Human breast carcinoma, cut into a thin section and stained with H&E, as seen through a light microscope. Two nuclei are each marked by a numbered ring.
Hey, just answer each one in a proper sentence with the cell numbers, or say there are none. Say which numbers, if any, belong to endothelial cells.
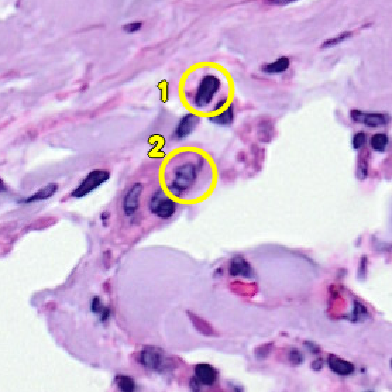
The nucleus numbered 2 is the only one that belongs to an endothelial cell.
